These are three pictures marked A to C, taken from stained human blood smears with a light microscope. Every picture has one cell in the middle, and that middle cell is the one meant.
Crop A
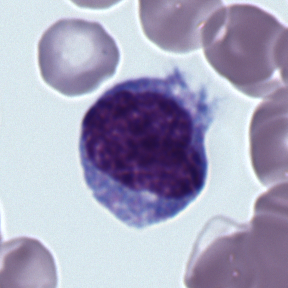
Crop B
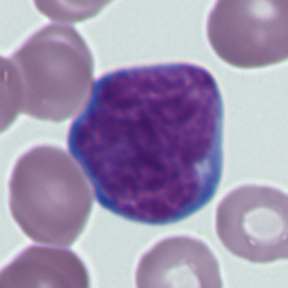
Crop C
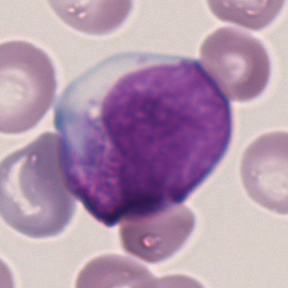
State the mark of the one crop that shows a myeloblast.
B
